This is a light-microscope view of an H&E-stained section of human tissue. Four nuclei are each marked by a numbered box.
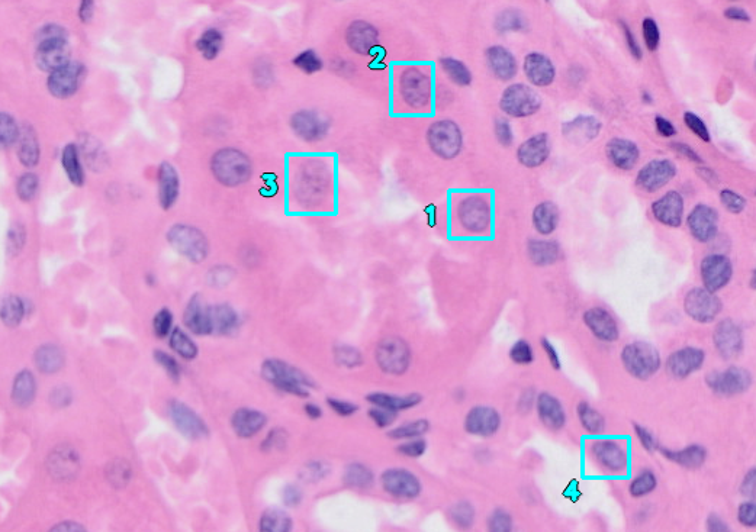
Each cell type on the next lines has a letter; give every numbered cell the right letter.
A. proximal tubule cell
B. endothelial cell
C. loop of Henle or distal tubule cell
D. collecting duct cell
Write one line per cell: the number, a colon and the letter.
1: A
2: A
3: A
4: D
